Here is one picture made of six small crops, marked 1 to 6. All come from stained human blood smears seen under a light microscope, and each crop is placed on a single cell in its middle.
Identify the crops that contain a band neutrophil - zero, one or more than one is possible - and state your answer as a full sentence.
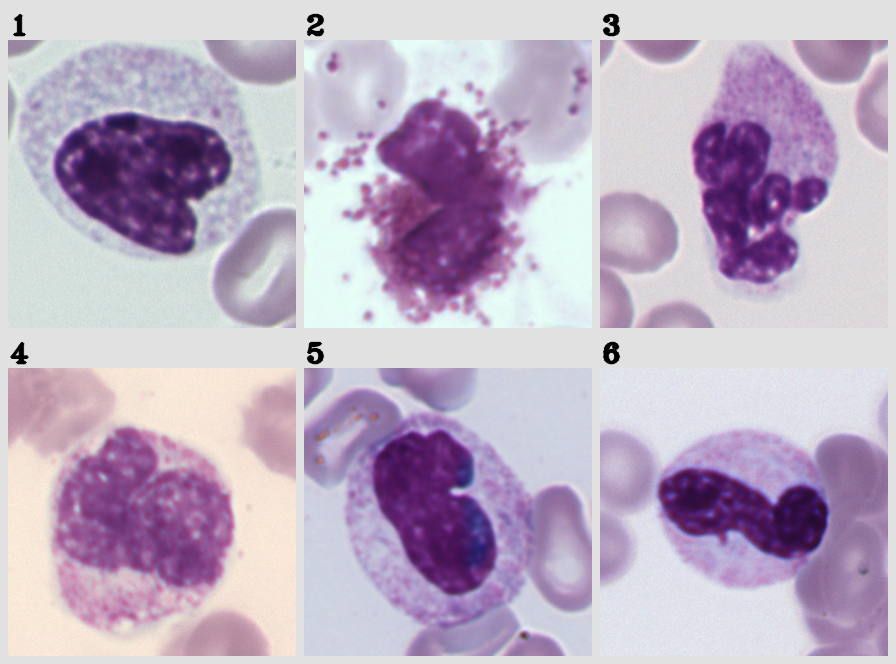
The centred cells of crops 1, 4, 5 and 6 are band neutrophils.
